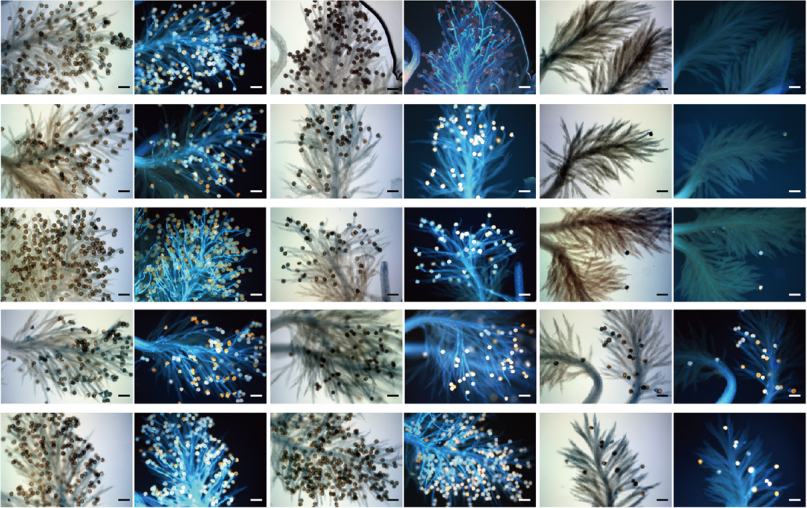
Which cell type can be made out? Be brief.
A: Pollen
